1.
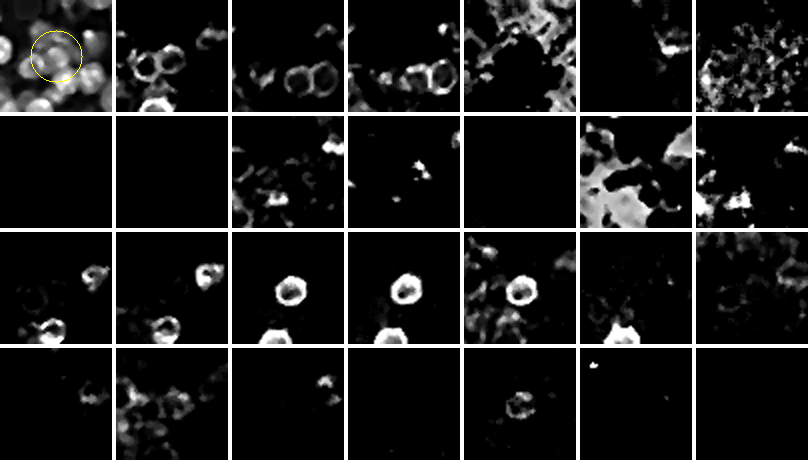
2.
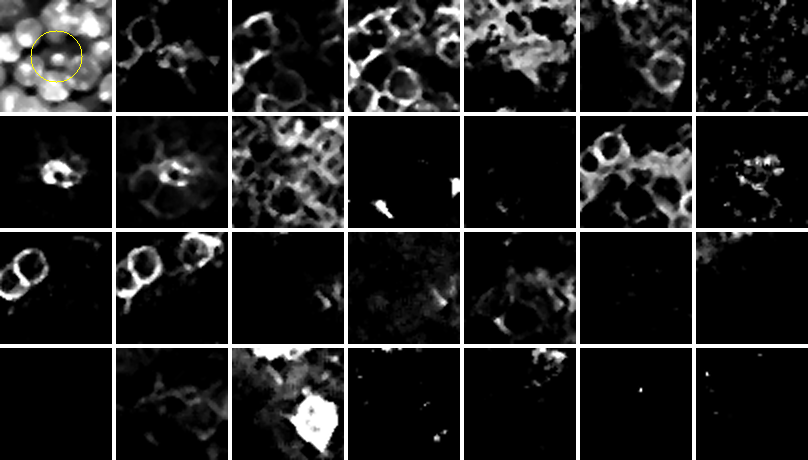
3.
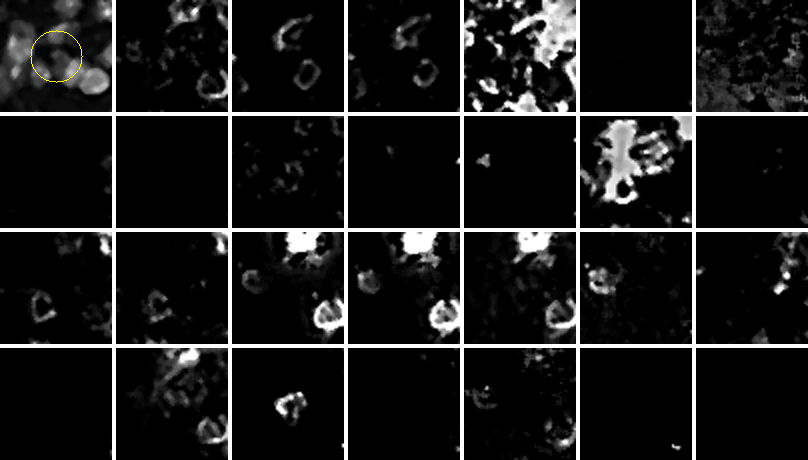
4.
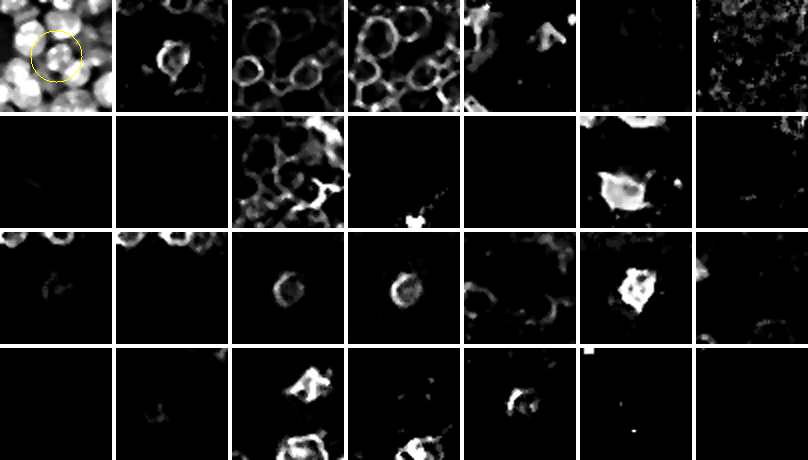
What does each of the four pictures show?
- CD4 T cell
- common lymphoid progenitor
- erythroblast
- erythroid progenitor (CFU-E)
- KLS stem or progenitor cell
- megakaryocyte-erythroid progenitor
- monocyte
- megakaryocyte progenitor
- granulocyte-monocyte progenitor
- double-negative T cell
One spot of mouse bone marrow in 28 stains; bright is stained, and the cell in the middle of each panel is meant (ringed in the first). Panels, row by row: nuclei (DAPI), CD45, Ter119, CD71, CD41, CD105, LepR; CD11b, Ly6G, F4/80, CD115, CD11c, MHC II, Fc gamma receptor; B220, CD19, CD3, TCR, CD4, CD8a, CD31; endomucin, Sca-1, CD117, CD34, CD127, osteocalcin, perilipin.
1. CD4 T cell
2. megakaryocyte progenitor
3. megakaryocyte-erythroid progenitor
4. common lymphoid progenitor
